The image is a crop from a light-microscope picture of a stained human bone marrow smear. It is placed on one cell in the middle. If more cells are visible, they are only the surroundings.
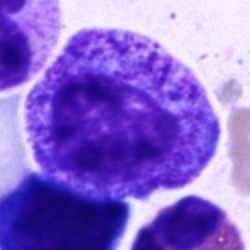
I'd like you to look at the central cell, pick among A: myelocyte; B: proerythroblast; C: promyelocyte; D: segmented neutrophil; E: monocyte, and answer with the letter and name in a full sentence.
Option C is correct here, and the cell in the middle is a promyelocyte.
